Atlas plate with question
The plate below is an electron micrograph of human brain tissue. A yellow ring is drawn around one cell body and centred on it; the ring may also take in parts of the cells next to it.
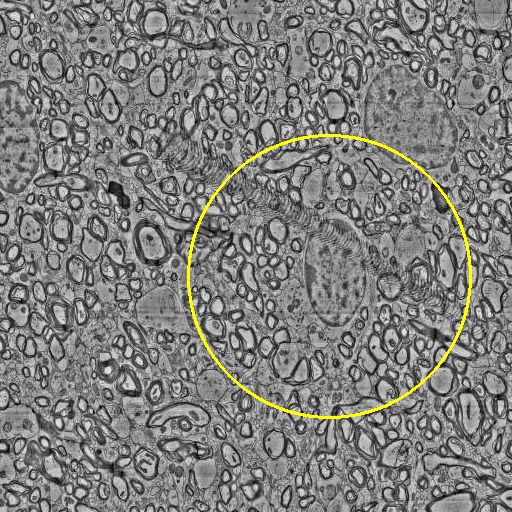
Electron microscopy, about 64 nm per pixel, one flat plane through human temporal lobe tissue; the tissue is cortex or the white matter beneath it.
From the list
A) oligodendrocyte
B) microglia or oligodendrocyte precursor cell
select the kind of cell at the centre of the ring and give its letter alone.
B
